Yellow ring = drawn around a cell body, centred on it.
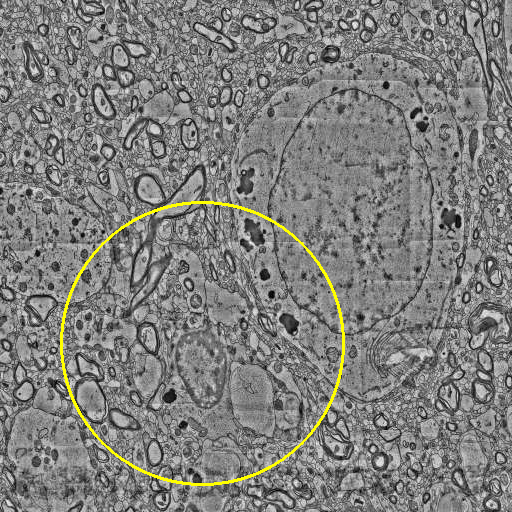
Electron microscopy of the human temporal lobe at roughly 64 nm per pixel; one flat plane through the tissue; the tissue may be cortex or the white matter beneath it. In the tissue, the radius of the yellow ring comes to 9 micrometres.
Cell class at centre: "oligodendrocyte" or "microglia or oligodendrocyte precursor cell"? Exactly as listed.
oligodendrocyte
